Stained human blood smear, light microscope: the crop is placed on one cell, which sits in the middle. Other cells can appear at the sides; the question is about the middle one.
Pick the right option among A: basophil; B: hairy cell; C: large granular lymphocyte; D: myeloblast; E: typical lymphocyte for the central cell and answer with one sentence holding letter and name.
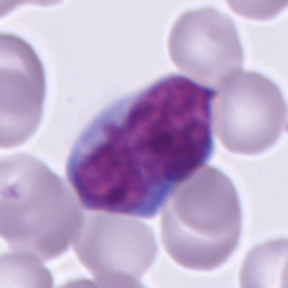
The cell at the centre is a typical lymphocyte, and option E accordingly is correct.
